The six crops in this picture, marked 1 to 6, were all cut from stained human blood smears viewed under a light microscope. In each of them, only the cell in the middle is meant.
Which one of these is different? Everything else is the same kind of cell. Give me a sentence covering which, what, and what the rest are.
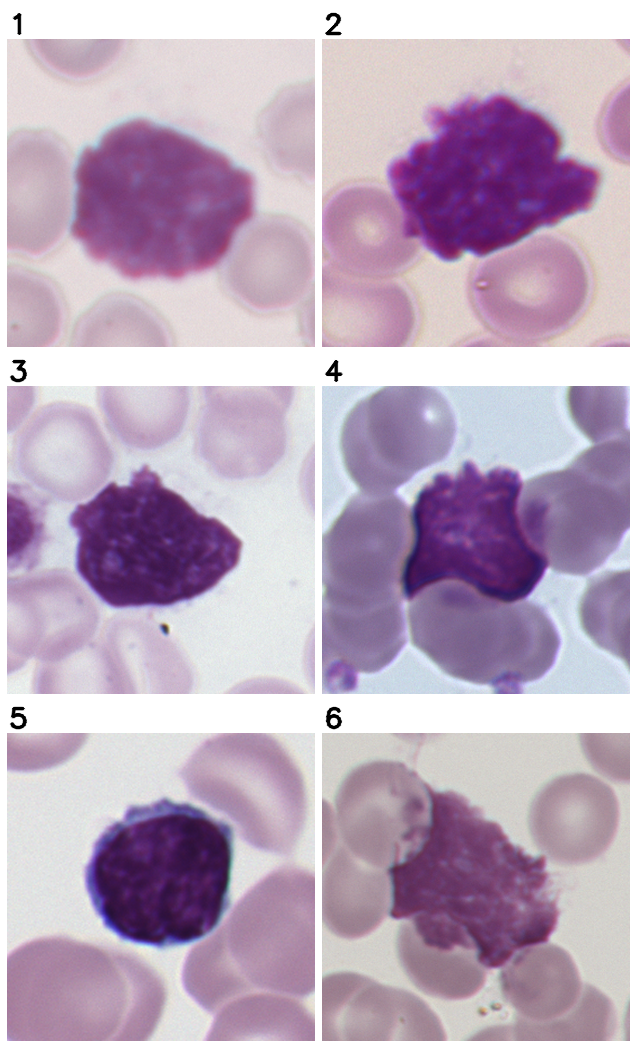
Crop 5 alone is a typical lymphocyte, and the other crops are all smudge cells.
